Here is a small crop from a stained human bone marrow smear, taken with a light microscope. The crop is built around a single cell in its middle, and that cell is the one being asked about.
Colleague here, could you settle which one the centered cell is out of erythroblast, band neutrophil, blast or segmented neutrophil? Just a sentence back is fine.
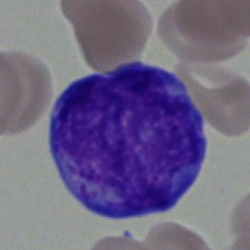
For this crop, the cell in the middle is a blast.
